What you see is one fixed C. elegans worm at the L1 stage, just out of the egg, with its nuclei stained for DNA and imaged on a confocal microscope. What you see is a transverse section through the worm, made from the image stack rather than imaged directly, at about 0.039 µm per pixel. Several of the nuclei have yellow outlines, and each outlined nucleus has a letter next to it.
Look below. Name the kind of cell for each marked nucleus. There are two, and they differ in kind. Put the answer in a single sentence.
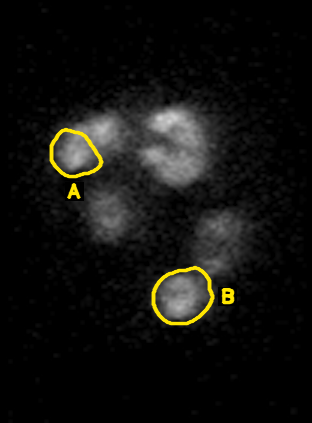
Nucleus A comes from a P cell (ventral epidermal blast cell) and nucleus B from a body wall muscle cell.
